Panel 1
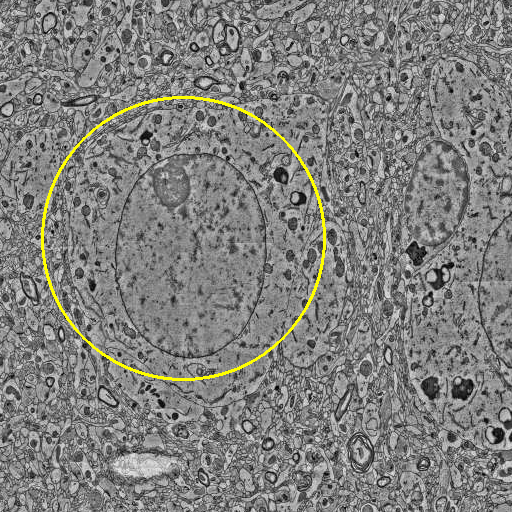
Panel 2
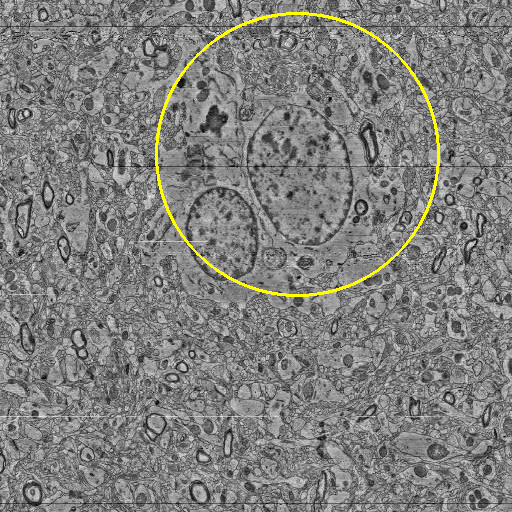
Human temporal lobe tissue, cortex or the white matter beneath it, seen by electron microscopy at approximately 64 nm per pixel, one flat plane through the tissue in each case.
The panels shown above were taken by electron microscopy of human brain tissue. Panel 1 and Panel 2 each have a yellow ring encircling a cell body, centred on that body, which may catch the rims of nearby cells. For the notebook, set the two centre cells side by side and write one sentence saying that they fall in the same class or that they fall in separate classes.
The centred cells of Panel 1 and Panel 2 fall in separate classes.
